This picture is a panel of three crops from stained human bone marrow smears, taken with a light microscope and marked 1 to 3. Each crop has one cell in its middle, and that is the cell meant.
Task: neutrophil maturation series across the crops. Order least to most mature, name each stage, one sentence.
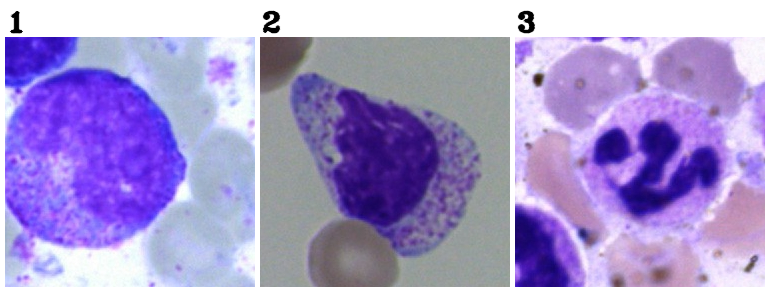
Once sorted from least to most mature, the sequence is crop 2 (a myelocyte), crop 1 (a metamyelocyte) and crop 3 (a segmented neutrophil).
